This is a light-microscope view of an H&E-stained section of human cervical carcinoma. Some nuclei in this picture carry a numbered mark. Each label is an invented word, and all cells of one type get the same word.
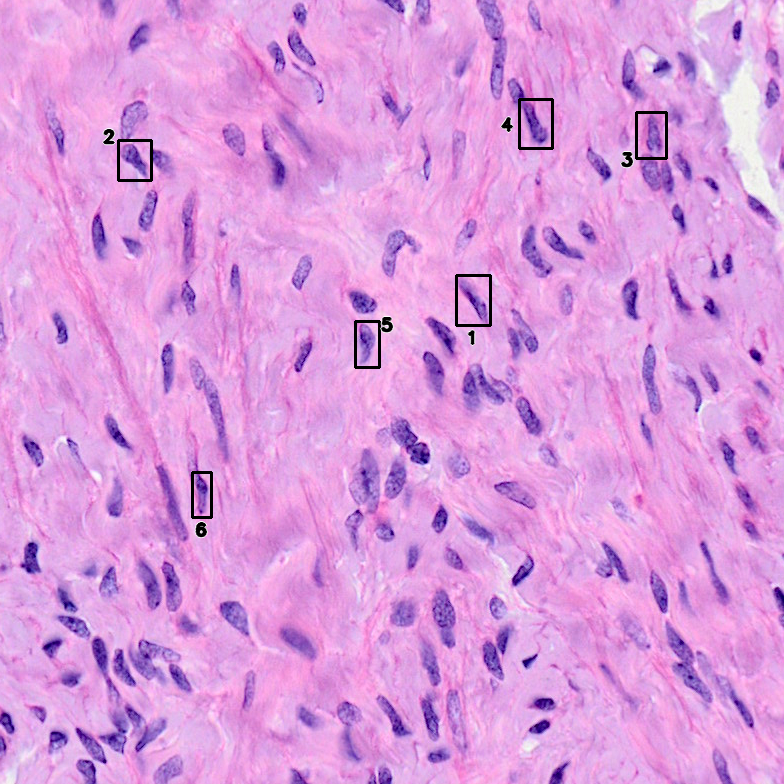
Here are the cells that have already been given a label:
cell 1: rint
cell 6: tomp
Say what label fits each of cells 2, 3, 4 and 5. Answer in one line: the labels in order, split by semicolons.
rint; tomp; rint; rint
